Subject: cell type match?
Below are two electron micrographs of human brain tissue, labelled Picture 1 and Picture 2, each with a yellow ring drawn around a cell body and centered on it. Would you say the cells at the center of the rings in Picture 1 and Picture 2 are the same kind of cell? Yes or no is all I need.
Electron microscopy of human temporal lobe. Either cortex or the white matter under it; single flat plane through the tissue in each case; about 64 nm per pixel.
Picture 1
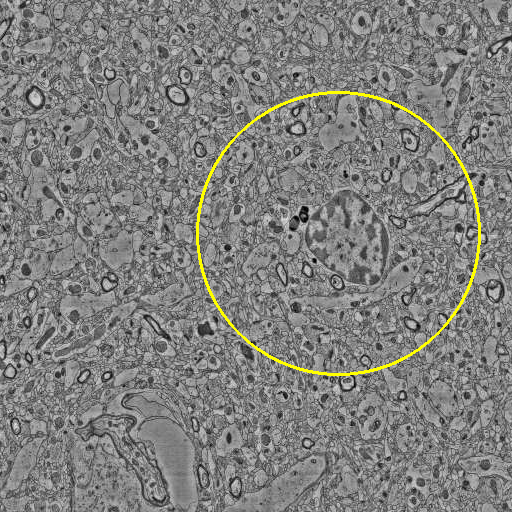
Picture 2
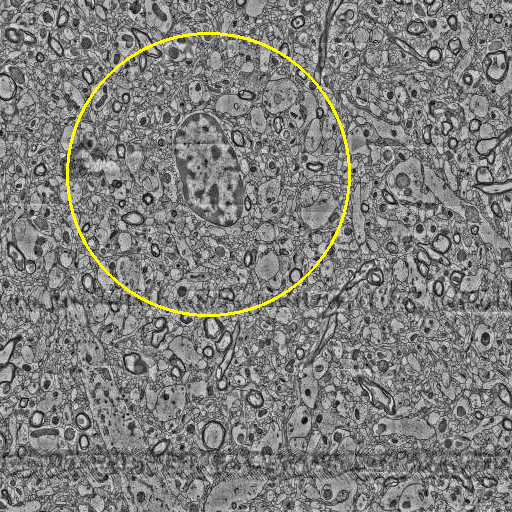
yes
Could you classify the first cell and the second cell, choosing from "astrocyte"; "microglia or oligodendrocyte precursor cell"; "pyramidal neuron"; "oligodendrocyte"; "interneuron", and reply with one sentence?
In the first picture and in the second, the ring is centred on a microglial cell or oligodendrocyte precursor cell.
